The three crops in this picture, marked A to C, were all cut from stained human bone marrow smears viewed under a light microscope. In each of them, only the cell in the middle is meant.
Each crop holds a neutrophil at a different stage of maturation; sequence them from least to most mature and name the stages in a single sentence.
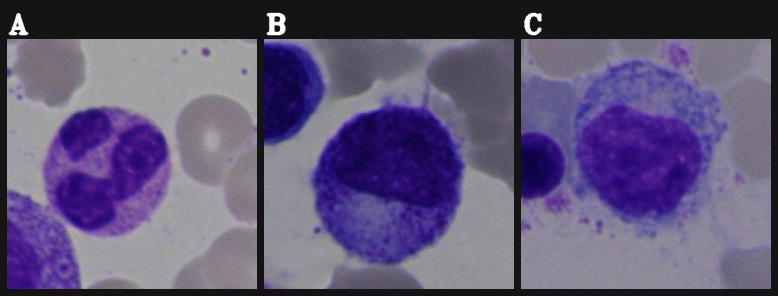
Listed in order of increasing maturity, the crops are crop B (a promyelocyte), crop C (a myelocyte) and crop A (a segmented neutrophil).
